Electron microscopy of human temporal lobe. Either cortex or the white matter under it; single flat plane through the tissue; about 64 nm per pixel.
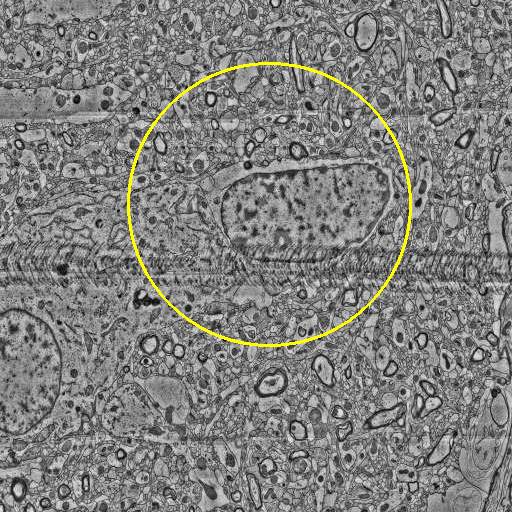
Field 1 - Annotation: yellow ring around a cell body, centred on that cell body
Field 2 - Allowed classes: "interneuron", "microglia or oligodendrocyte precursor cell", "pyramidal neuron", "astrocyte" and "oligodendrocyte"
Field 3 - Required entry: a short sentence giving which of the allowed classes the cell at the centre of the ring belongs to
The centred cell is a microglial cell or oligodendrocyte precursor cell.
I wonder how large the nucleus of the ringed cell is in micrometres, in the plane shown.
In this plane the nucleus is clearly longer than it is wide: roughly 11 by 6 micrometres.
